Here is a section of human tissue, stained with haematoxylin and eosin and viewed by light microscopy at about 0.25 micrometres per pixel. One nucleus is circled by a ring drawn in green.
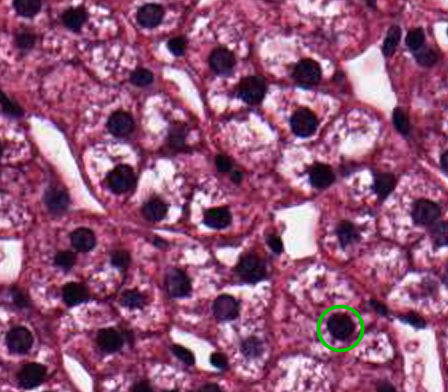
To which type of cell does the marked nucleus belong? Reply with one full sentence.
A nucleus belonging to an adrenal cortical cell is the one marked.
